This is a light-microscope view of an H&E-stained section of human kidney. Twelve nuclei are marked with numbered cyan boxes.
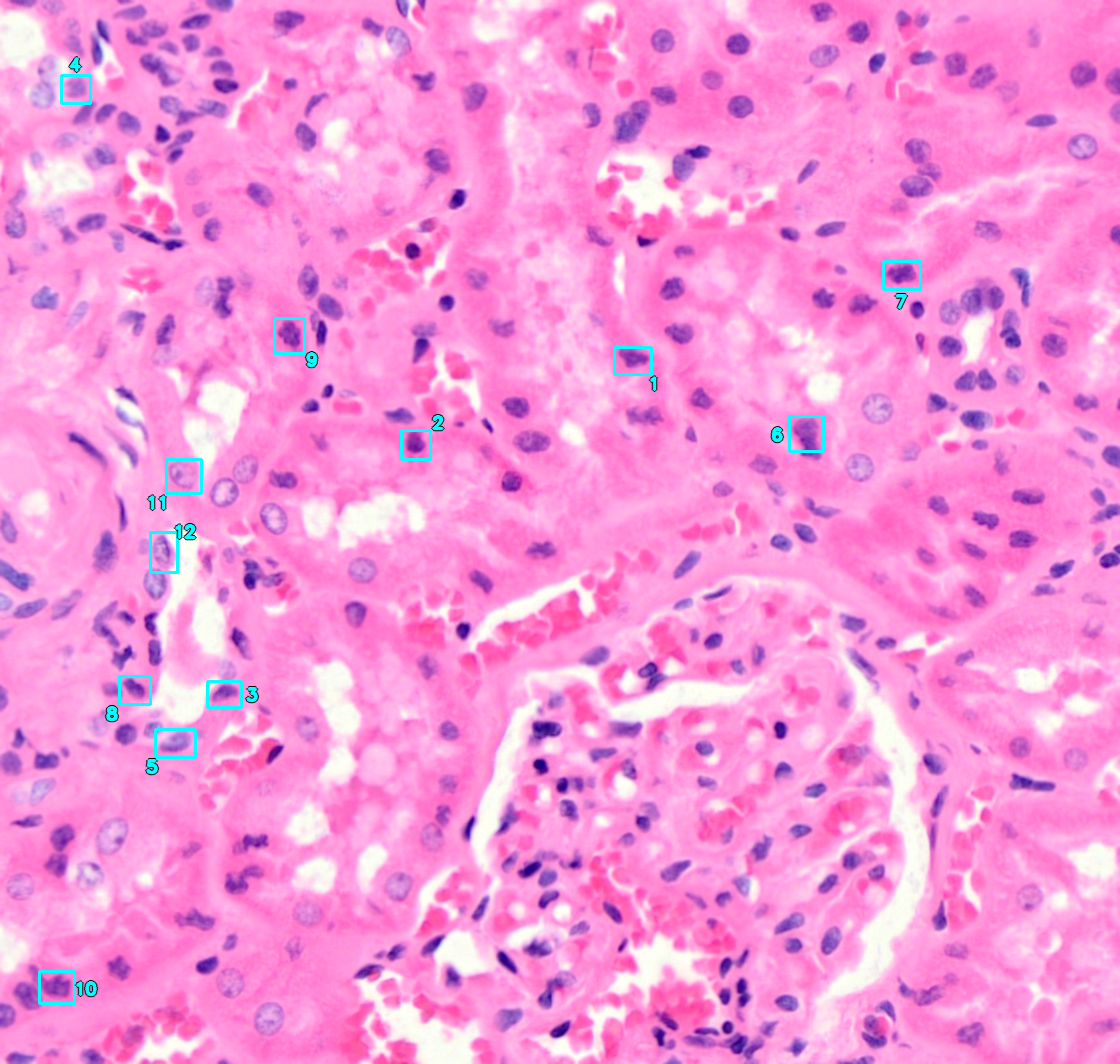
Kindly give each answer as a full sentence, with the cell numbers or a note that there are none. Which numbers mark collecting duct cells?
The cells with the number labels 3, 4, 5, 8 and 12 are collecting duct cells.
